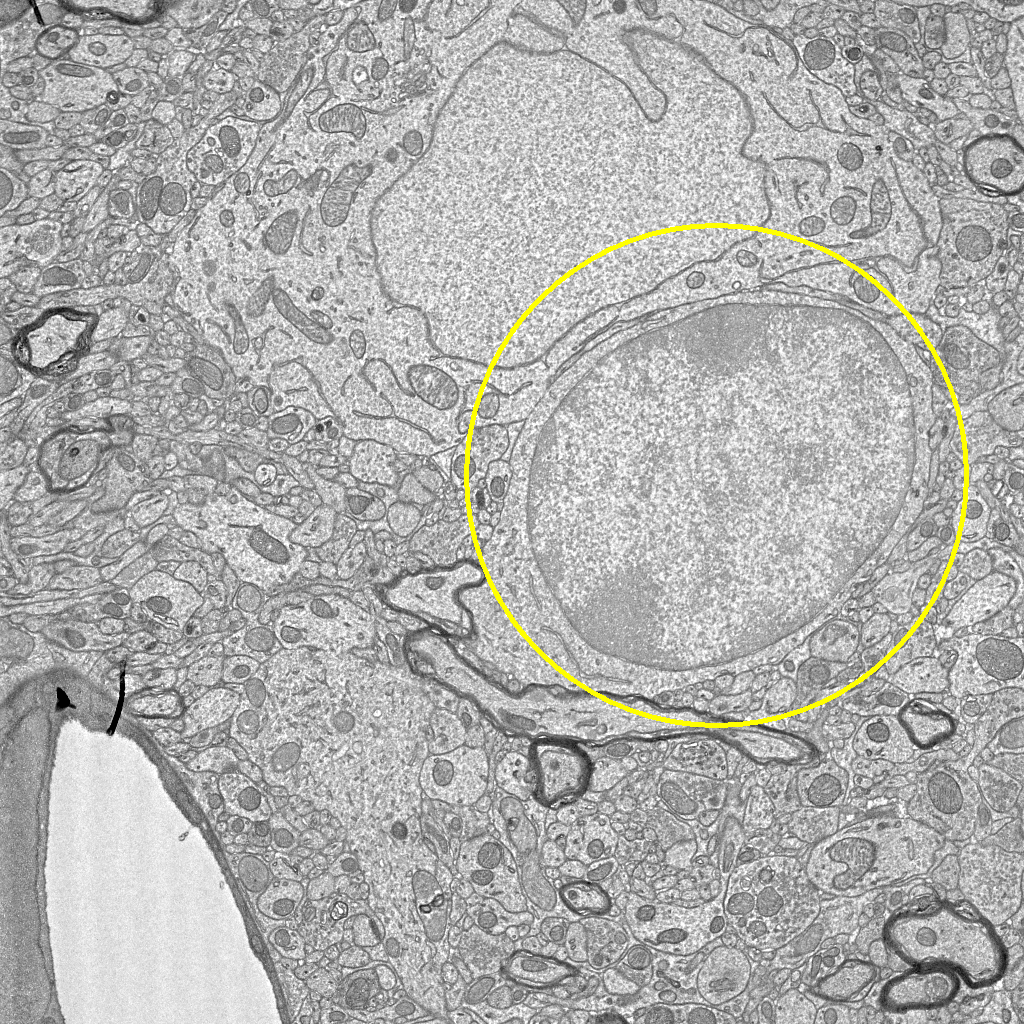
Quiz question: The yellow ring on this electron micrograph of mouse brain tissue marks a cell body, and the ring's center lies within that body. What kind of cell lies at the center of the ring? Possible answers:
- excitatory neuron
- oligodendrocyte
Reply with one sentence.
The ring's center lies on an oligodendrocyte.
